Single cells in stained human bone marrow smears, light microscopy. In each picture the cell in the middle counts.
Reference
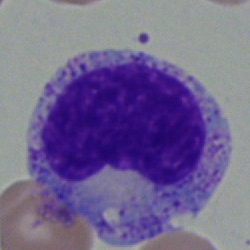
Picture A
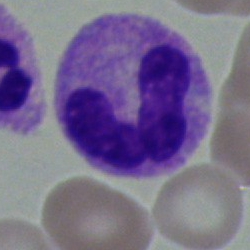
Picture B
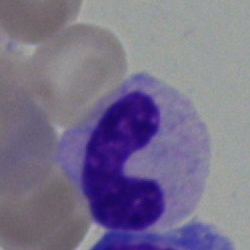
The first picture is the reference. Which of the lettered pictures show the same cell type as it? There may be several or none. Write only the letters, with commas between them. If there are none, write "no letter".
no letter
